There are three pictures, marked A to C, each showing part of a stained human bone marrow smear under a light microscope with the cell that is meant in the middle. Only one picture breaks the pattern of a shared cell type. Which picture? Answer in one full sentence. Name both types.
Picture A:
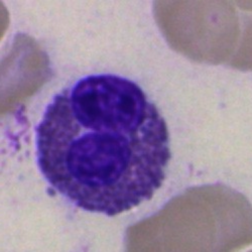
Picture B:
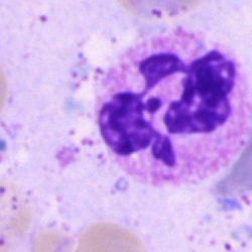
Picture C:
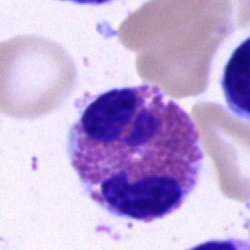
The others show eosinophils, but picture B shows a segmented neutrophil.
